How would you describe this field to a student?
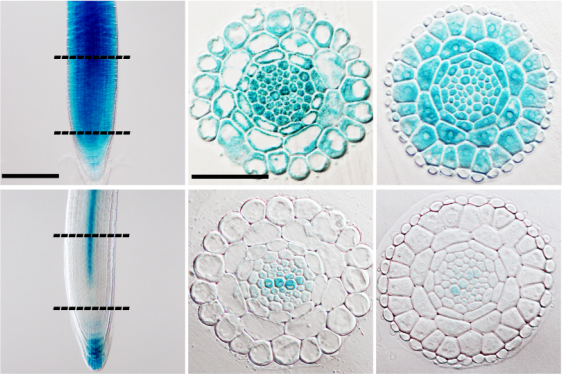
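Two root tips, each shown lengthwise beside two cross sections. In the upper root, blue stain fills the whole width of the root above the tip and is paler toward the tip; its cross sections show blue in every layer, from the outer ring of rounded epidermal cells through the large cortical cells to the small, densely packed central cells. In the lower root, blue is confined to a narrow central strand and to the very tip; its cross sections show faint blue only in a few small central cells, while the surrounding cortex and epidermis are unstained. Each section shows concentric cell layers around a central cylinder.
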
